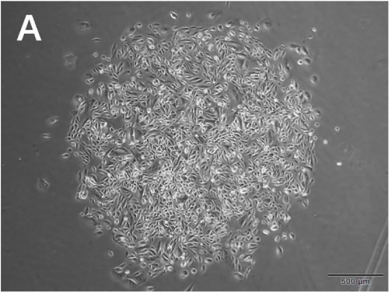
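This is a single rounded colony of cultured cells seen in phase contrast, sitting alone on an otherwise empty culture surface. The cells are small and mostly spindle-shaped to short and polygonal, with bright phase halos around their edges. They are packed closely in the centre of the colony and lie more loosely towards the rim, where single cells trail off from the edge. The colony has a fairly sharp, roughly circular border, which suggests it grew outward from one or a few founder cells.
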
